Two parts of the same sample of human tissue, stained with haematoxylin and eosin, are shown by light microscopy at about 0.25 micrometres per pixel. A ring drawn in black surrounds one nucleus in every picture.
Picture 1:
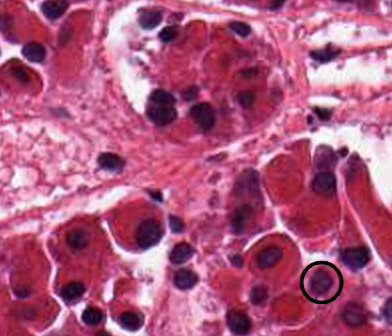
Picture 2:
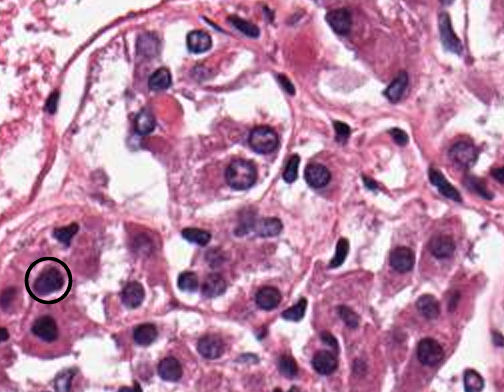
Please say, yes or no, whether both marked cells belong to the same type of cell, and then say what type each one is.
Yes, both are anterior pituitary cells.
